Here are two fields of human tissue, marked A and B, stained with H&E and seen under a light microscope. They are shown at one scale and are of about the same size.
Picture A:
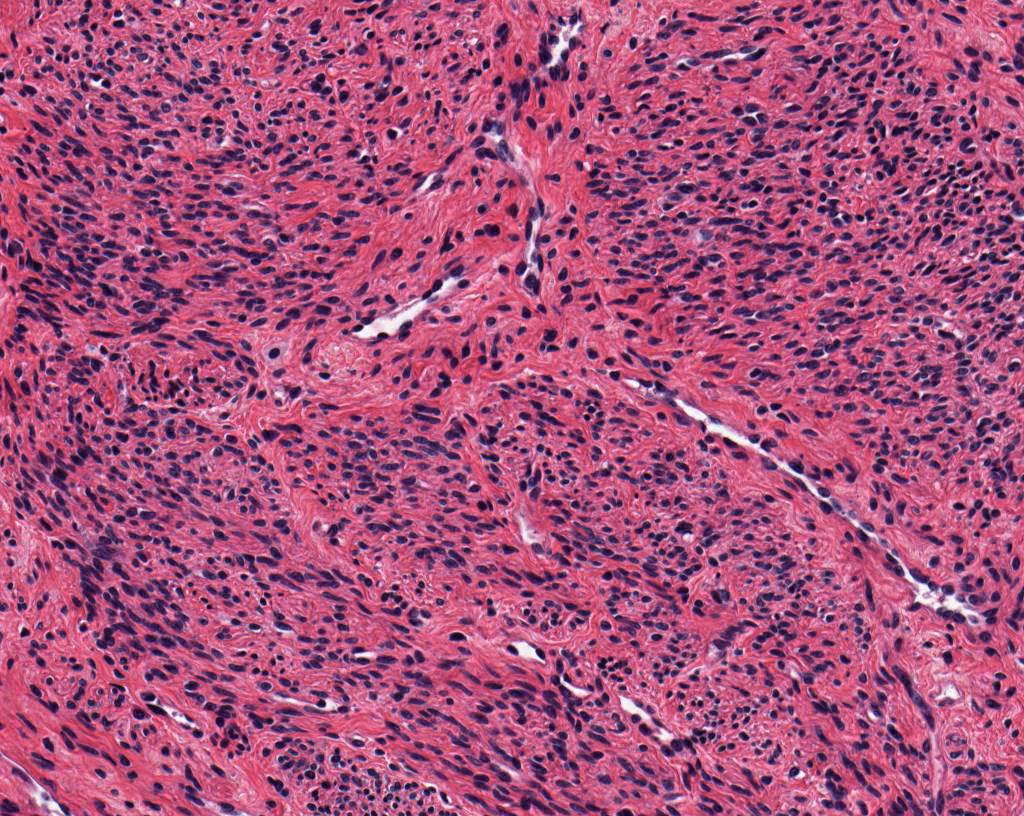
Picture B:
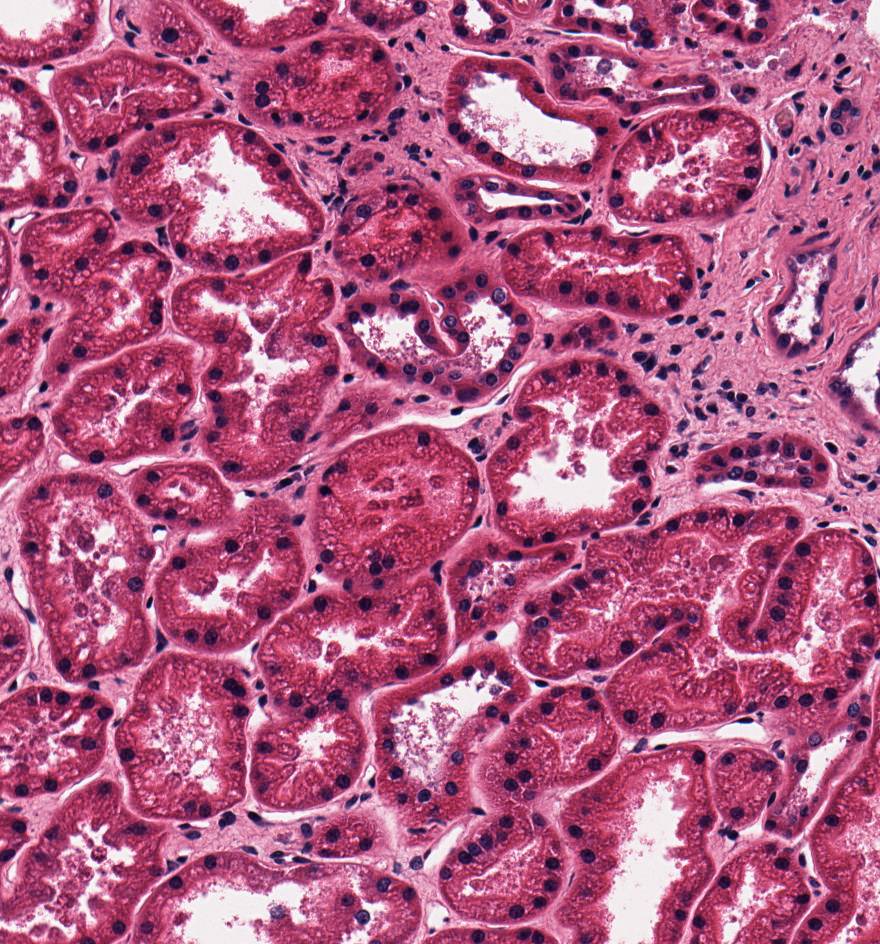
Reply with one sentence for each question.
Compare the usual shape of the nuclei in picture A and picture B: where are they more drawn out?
On the whole the nuclei of picture A are more drawn out than those of picture B.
